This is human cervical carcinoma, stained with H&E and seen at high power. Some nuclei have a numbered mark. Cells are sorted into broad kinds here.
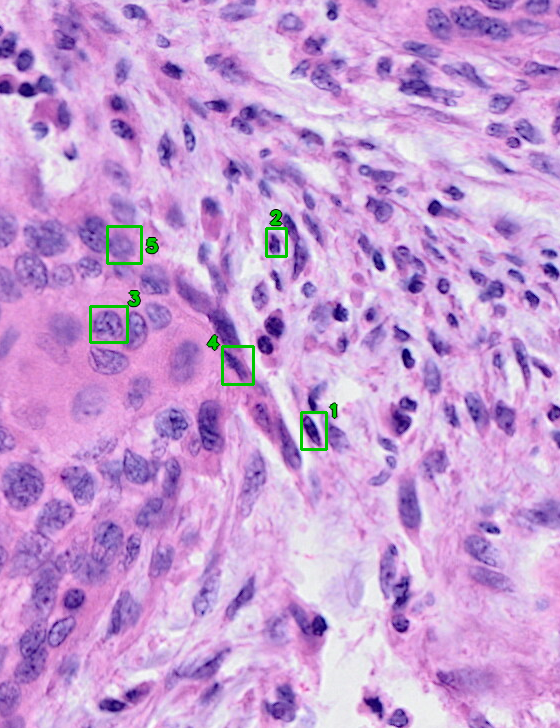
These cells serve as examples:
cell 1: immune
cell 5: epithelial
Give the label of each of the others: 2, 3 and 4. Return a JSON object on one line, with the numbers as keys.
{"2": "immune", "3": "epithelial", "4": "epithelial"}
